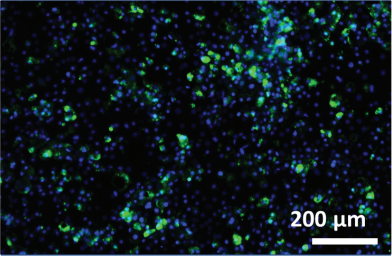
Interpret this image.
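Small round blue nuclei are scattered densely and fairly evenly across the whole field, with no obvious pattern or structure to how they are arranged. Green stain shows up in only a minority of the cells, as isolated bright dots and small patches that sit on or beside single nuclei. It is somewhat more frequent in a few denser clusters toward the upper right. Most nuclei have no green around them, and the background between cells stays dark.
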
